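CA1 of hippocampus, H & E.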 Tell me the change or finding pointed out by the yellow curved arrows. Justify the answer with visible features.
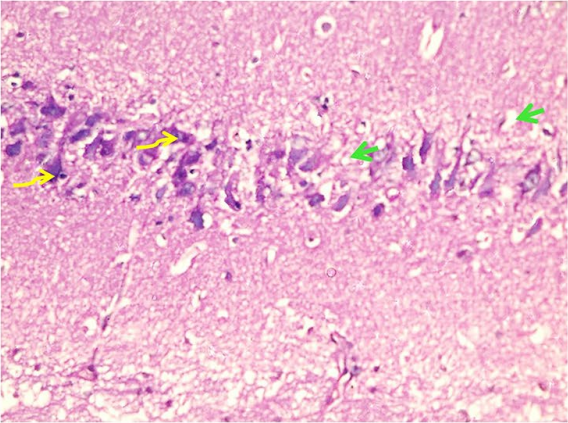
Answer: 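The marked cells are small, shrunken and stain dark purple throughout. No pale nucleus with nucleolus can be made out in them. The answer: darkly stained pyknotic nuclei.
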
